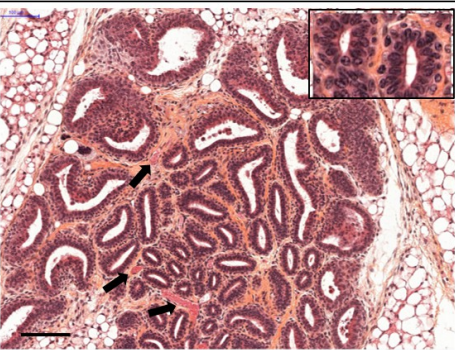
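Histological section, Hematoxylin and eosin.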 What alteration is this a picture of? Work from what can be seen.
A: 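Lumens are lined by an epithelium several nuclei thick. Nuclei are stacked in more than one row around each lumen. On this evidence: at least two layers of cells.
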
